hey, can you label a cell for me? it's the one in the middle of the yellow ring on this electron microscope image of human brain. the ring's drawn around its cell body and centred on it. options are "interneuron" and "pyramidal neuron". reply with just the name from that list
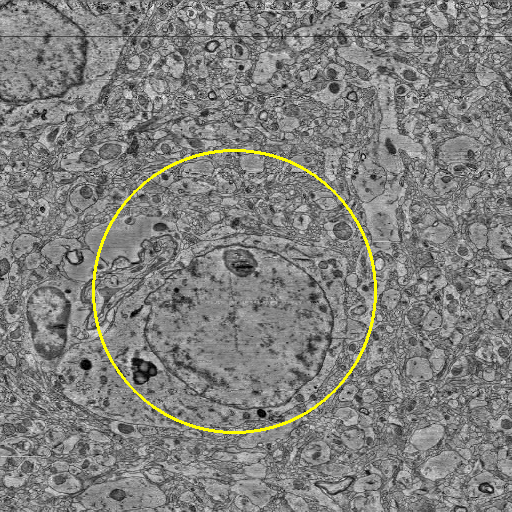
pyramidal neuron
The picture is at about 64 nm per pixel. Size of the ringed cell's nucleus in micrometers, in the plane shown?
In this plane, approximately 12 micrometres across.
